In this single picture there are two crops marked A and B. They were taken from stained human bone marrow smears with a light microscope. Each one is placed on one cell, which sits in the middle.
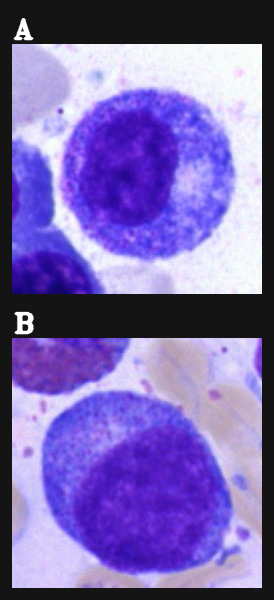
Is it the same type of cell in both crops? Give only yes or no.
yes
